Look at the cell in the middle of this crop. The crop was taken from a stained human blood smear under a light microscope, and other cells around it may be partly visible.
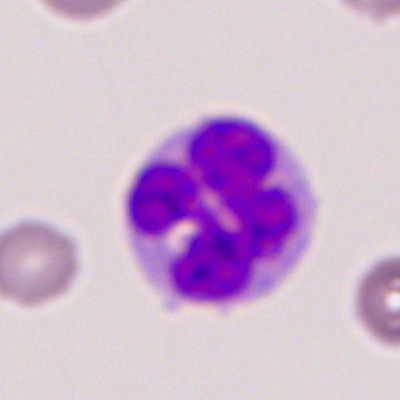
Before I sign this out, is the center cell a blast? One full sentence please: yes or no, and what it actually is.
No, the central cell should be identified as a monocyte, not as a blast.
